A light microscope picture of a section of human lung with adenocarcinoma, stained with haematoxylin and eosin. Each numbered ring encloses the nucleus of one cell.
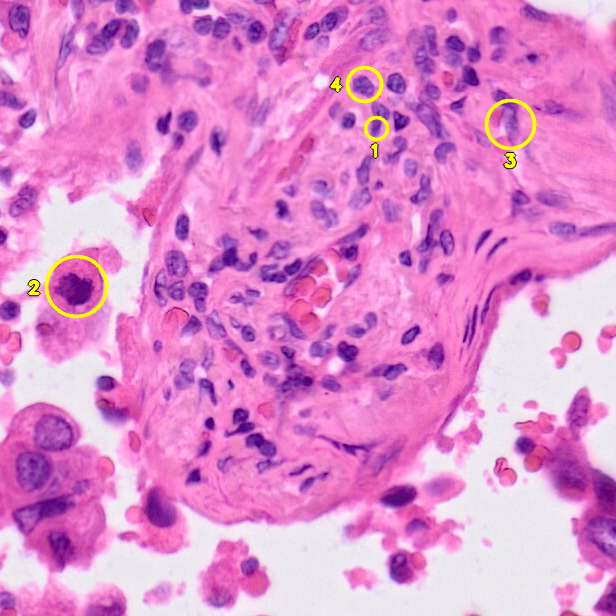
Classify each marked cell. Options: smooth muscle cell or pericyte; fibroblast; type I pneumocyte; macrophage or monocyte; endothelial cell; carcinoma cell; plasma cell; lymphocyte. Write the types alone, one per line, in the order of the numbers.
lymphocyte
carcinoma cell
endothelial cell
lymphocyte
